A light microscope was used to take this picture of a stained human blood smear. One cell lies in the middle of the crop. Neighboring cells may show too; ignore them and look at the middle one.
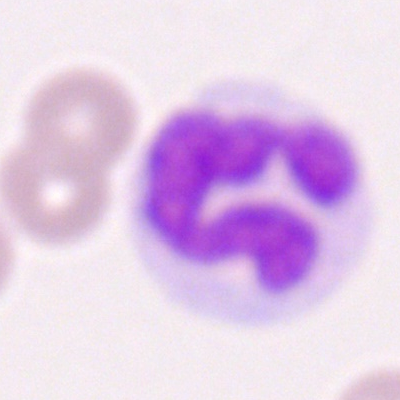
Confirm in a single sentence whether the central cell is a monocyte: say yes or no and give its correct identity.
Yes, in the centre of this field sits a monocyte.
